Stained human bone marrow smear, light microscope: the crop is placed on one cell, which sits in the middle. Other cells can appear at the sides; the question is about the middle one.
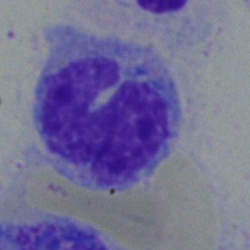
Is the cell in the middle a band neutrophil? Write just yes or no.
no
